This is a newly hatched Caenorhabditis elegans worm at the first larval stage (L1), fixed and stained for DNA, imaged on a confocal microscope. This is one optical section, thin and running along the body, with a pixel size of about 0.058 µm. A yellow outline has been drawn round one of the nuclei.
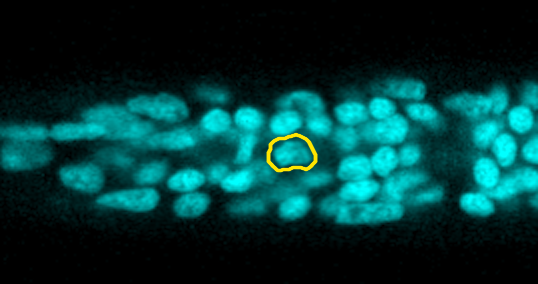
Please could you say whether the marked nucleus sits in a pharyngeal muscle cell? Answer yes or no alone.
yes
